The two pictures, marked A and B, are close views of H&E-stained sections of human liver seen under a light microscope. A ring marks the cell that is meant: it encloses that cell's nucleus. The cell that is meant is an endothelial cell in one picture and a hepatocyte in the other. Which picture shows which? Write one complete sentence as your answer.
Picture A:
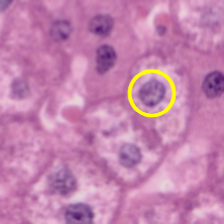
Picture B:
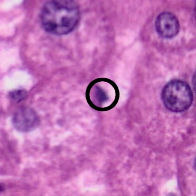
The cell in picture A is a hepatocyte, and the one in picture B is an endothelial cell.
